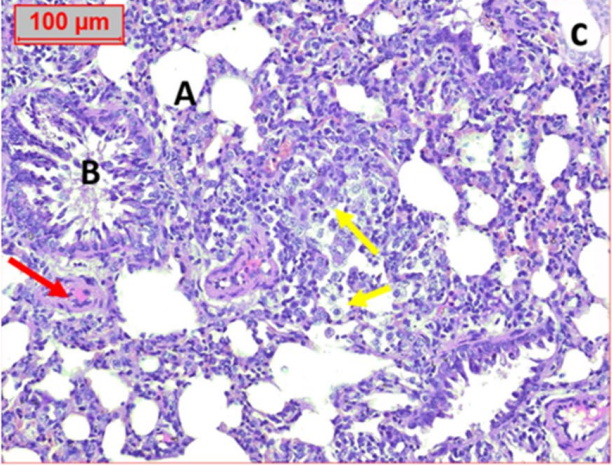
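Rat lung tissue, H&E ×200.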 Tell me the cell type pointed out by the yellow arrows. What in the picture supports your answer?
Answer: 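The arrows point to large rounded cells with pale, abundant cytoplasm. These cells lie within an area crowded with small dark-nucleated cells.
Hence: macrophages.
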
